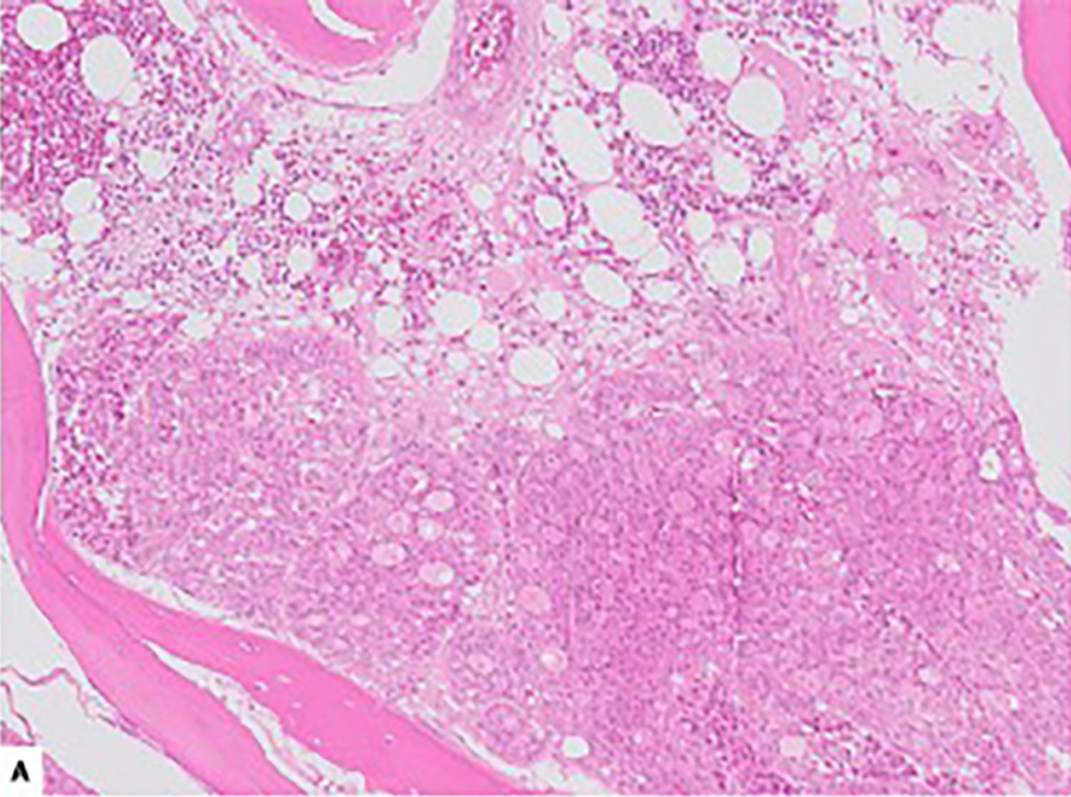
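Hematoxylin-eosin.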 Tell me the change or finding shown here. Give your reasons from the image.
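Neoplastic proliferation with a follicular pattern. A dense sheet of epithelial cells fills the space between bony trabeculae. The cells form small round follicles with pale eosinophilic content. Fatty marrow lies above the cellular sheet.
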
